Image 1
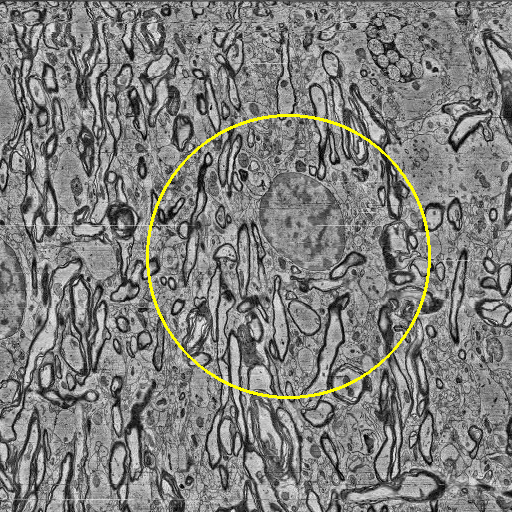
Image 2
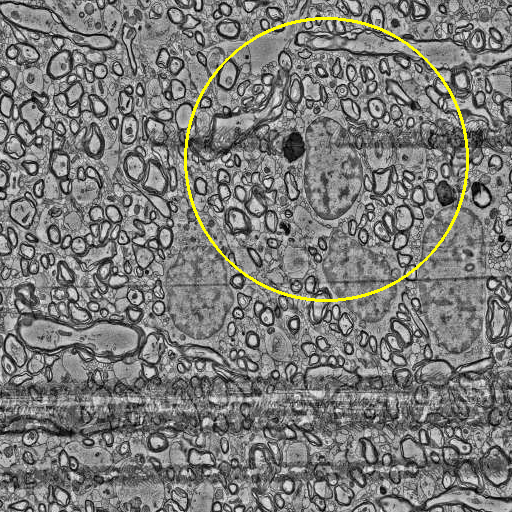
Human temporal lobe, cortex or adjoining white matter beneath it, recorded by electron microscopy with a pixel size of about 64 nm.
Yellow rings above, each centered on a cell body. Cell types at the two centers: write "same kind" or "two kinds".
same kind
